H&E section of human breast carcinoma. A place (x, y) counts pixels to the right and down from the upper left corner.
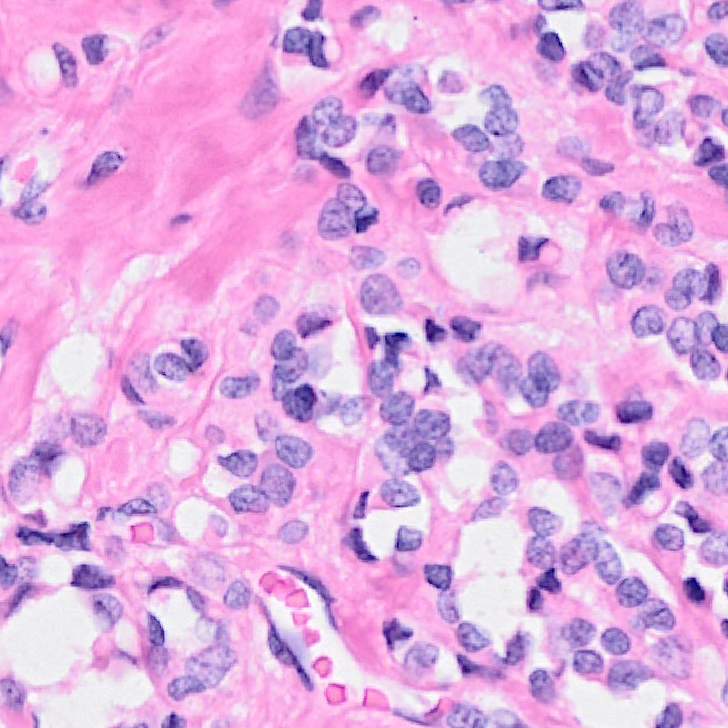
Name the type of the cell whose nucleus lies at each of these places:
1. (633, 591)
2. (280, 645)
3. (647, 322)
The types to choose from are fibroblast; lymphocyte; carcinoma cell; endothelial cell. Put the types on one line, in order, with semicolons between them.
carcinoma cell; endothelial cell; carcinoma cell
